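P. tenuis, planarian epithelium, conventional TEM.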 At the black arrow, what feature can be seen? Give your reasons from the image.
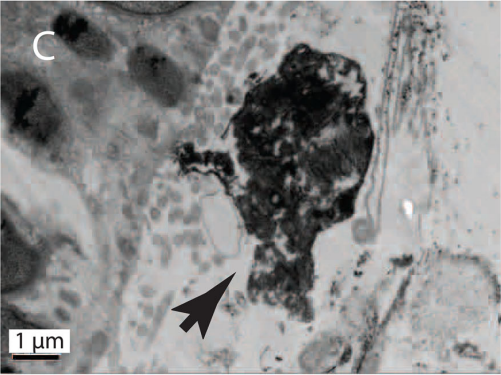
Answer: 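The arrow points to an irregular, very dense mass. The dense mass lies apart from the surrounding cells. So: extruded rhabdite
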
